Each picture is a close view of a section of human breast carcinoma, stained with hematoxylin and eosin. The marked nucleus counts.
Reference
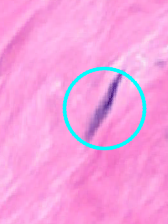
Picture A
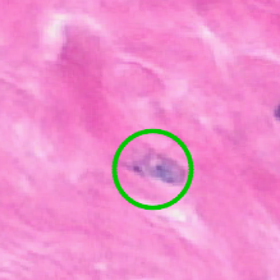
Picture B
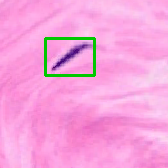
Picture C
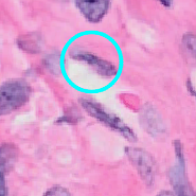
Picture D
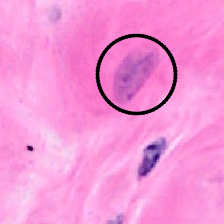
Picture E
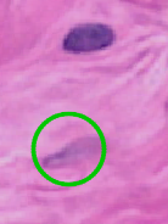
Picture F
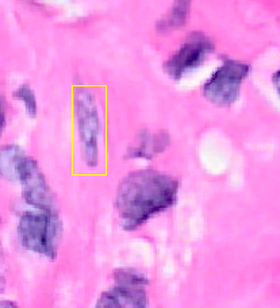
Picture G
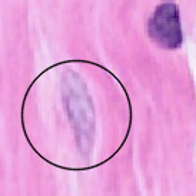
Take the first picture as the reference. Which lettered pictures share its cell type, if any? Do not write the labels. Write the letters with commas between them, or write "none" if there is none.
A, B, D, E, G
